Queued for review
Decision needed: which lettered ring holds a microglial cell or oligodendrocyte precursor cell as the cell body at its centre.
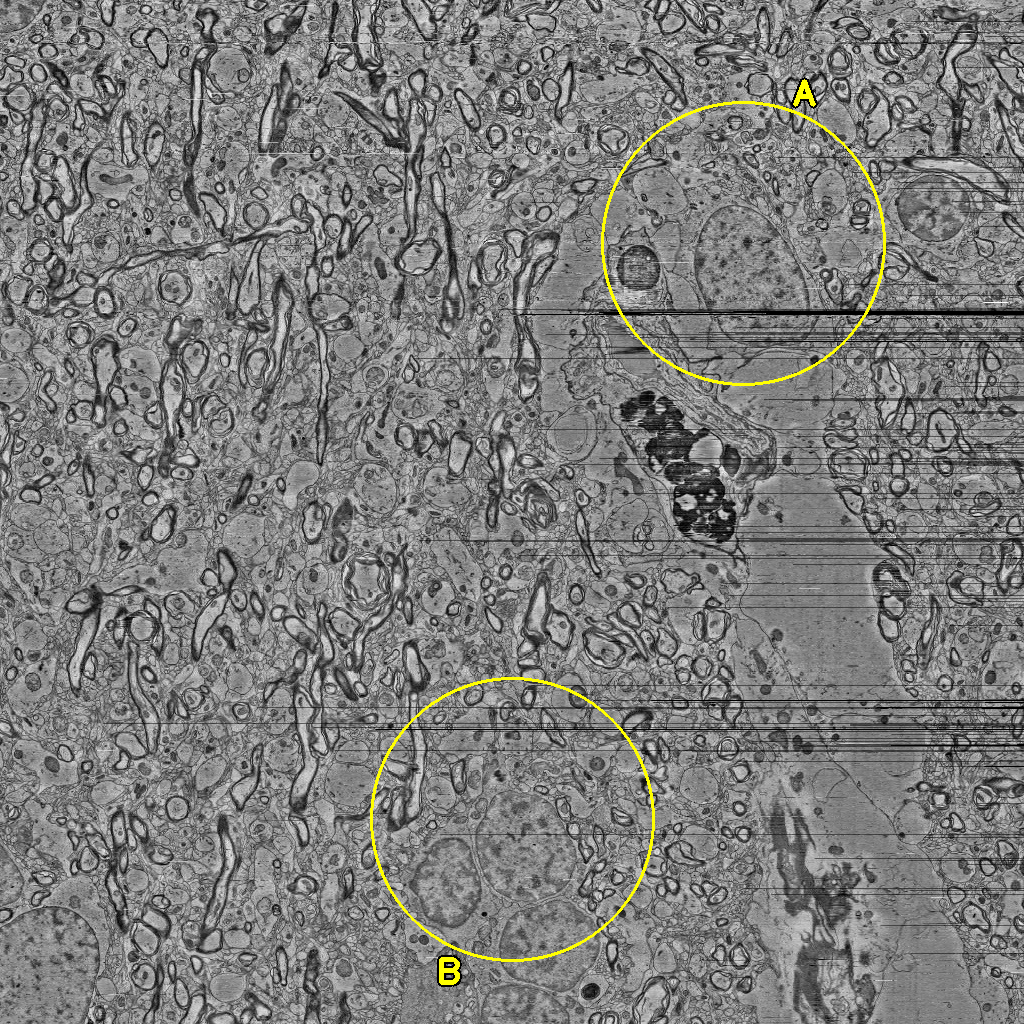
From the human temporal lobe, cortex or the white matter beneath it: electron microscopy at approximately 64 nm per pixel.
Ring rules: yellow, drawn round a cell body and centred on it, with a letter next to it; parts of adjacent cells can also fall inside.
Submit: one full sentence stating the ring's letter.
The cell asked for is the one at the centre of ring A in the picture.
